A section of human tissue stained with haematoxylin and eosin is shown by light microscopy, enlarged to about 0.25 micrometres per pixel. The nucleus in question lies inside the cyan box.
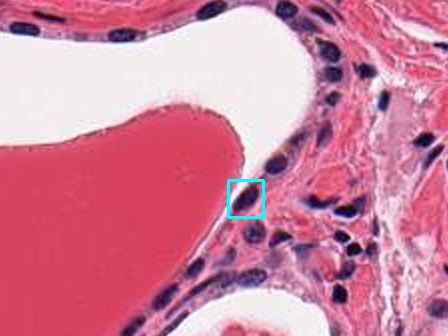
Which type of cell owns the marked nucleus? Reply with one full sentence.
The marked nucleus is that of a thyroid follicular cell.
